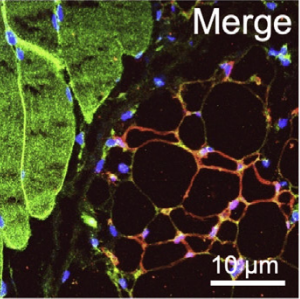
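Skeletal muscle with adjacent mature adipocytes in fluorescence. On the left, large muscle fibres are outlined and faintly filled in green. On the right, a mesh of large polygonal adipocytes with dark empty interiors and thin red rims. Blue nuclei lie at the rims and in the angles between the cells.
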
